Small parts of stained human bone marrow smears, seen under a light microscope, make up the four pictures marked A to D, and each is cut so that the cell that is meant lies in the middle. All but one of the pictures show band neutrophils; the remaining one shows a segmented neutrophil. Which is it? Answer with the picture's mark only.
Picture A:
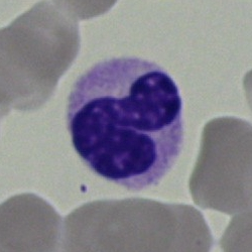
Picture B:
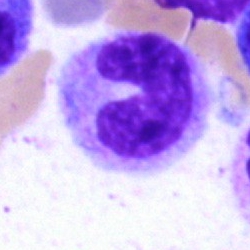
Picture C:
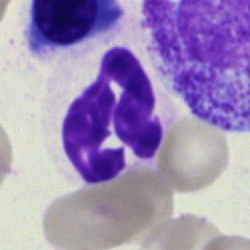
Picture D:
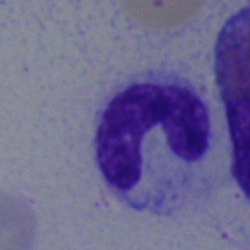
C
